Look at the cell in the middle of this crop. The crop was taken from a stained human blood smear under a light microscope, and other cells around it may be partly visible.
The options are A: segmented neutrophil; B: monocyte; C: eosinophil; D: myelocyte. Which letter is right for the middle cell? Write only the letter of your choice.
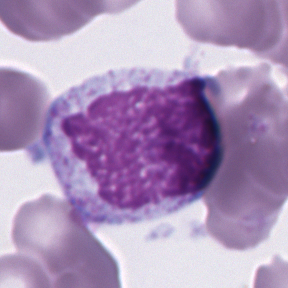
D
